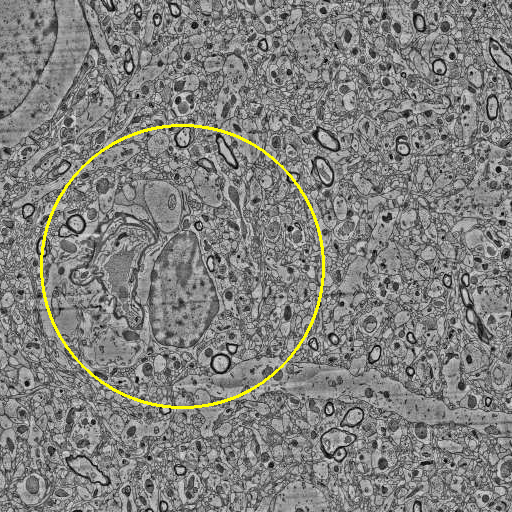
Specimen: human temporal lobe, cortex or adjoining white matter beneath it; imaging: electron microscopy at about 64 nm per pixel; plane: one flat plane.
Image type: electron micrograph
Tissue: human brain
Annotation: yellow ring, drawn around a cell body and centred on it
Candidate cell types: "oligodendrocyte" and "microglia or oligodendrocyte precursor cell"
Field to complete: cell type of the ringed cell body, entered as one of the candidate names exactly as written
microglia or oligodendrocyte precursor cell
